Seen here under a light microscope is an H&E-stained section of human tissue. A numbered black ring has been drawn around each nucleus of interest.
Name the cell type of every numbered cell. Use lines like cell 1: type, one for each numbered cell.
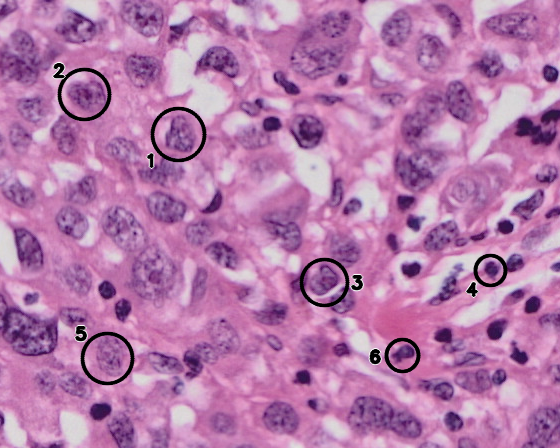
cell 1: melanoma cell
cell 2: melanoma cell
cell 3: melanoma cell
cell 4: lymphocyte
cell 5: melanoma cell
cell 6: lymphocyte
